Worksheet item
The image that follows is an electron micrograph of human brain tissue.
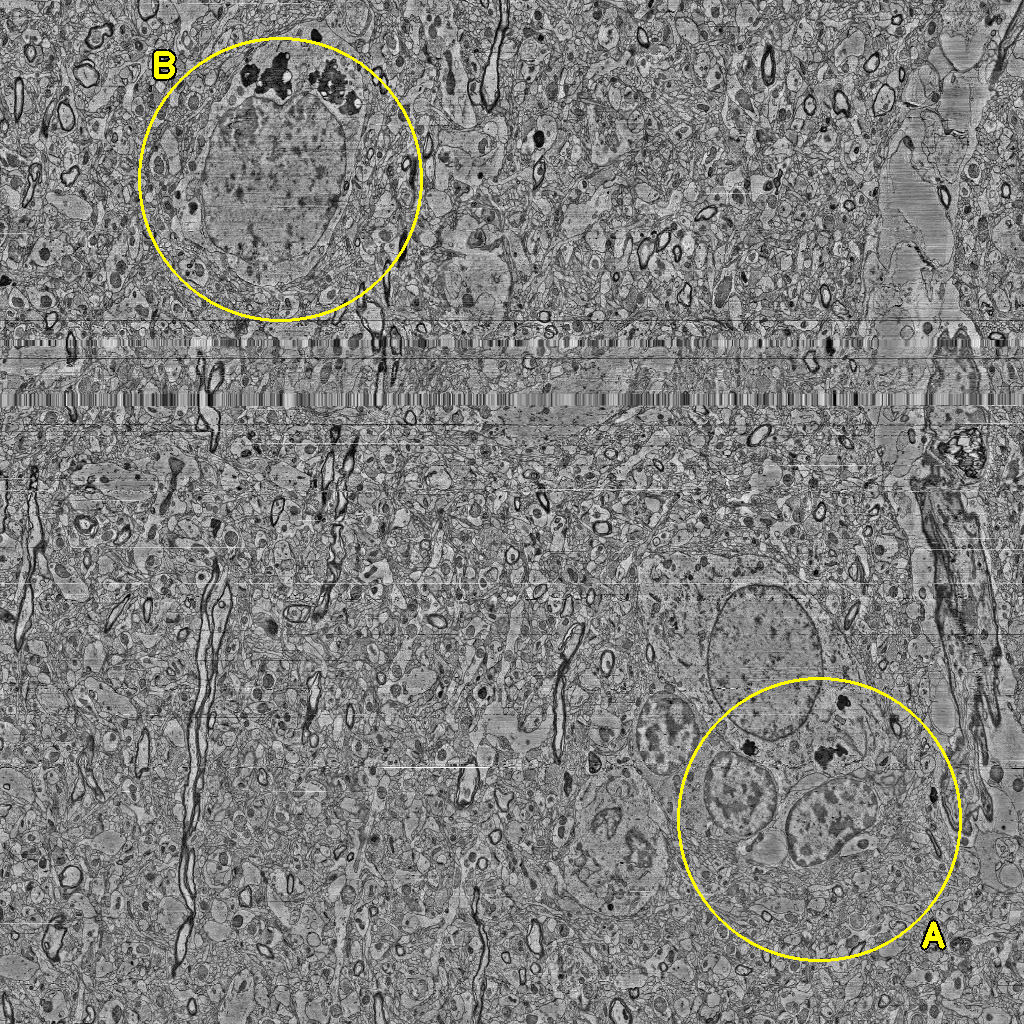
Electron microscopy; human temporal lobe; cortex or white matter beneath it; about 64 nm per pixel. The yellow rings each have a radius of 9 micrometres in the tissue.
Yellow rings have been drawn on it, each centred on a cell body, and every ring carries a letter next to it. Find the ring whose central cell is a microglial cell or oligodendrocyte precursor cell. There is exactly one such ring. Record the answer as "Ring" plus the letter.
Ring A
